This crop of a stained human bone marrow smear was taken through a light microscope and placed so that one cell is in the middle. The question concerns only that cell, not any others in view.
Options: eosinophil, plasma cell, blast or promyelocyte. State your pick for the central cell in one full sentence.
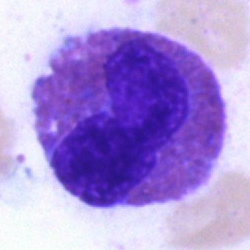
Present in the middle of the crop is an eosinophil.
